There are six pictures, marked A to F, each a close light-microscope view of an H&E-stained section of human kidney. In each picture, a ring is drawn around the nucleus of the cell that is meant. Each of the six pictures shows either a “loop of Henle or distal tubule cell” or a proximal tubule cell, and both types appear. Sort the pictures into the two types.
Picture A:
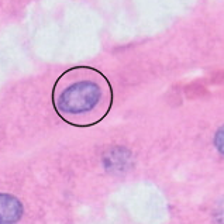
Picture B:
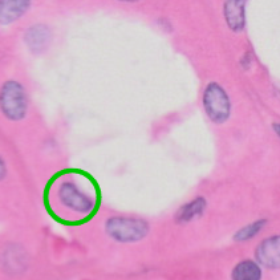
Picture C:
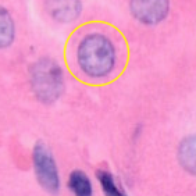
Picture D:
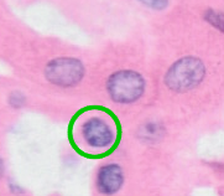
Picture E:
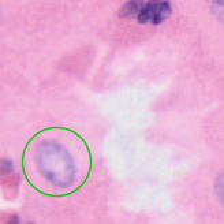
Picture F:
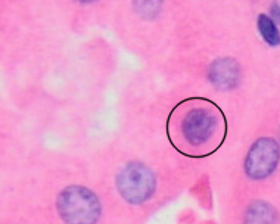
A: proximal tubule cell
B: loop of Henle or distal tubule cell
C: proximal tubule cell
D: loop of Henle or distal tubule cell
E: proximal tubule cell
F: proximal tubule cell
